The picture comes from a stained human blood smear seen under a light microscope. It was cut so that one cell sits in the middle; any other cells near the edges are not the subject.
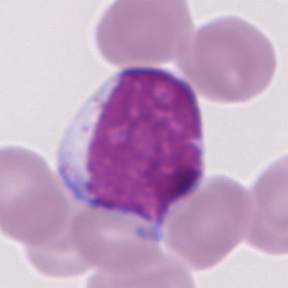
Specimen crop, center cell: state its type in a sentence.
As for the cell in the middle, it is a large granular lymphocyte.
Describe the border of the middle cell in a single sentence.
In outline, the cell is irregular, ragged in stretches or drawn into projections.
